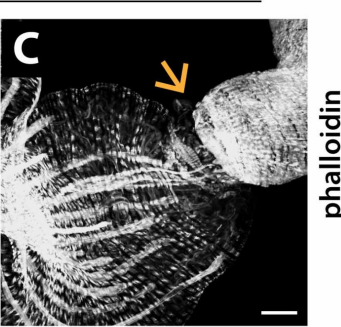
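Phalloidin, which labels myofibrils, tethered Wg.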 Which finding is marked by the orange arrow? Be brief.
a constriction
